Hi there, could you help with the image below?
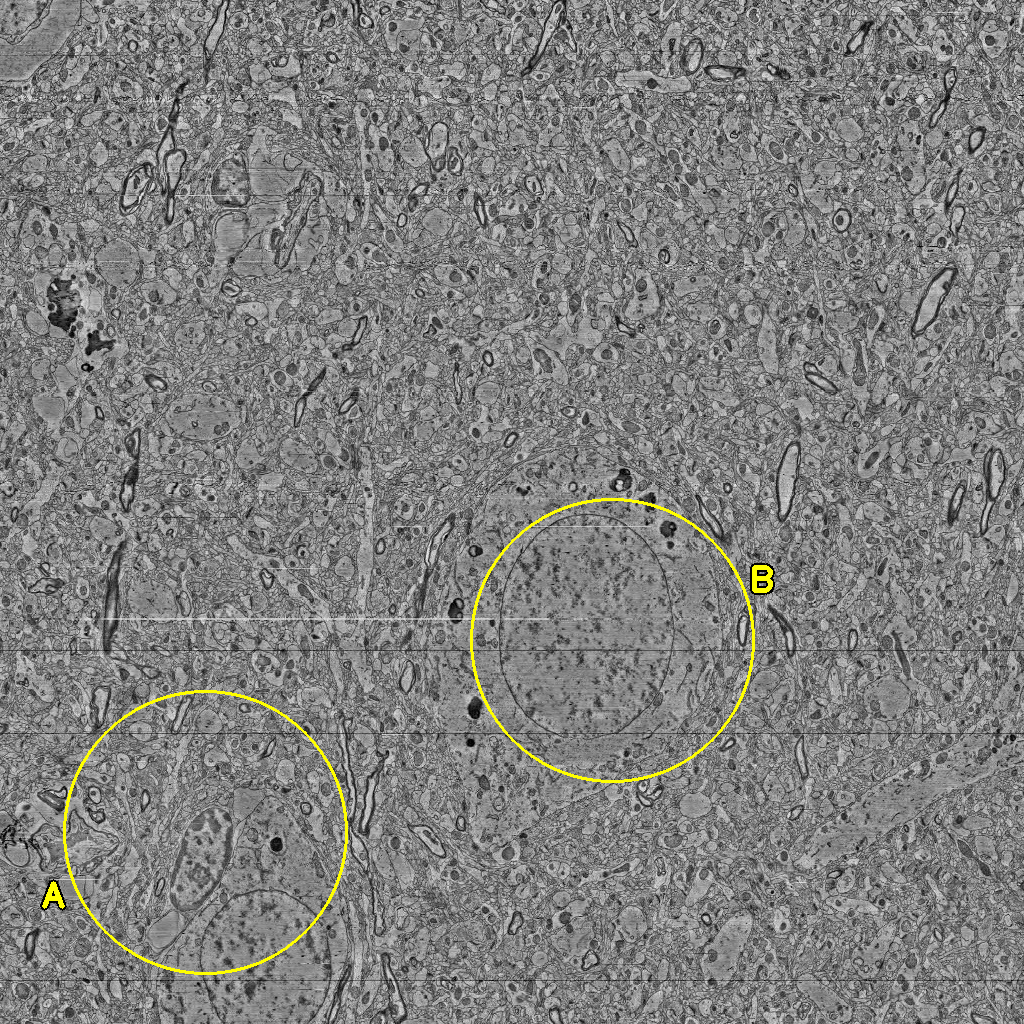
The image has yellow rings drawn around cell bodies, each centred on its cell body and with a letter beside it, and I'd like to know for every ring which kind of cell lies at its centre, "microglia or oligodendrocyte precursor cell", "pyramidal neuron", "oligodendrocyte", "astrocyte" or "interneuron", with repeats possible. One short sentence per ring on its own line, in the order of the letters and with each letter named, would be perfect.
Ring A is placed around a microglial cell or oligodendrocyte precursor cell.
Ring B is placed around a pyramidal neuron.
